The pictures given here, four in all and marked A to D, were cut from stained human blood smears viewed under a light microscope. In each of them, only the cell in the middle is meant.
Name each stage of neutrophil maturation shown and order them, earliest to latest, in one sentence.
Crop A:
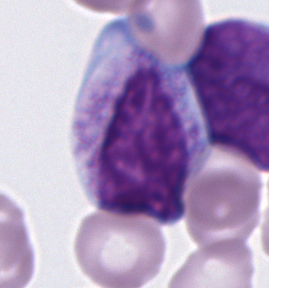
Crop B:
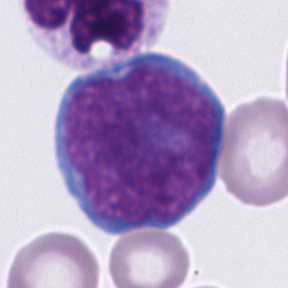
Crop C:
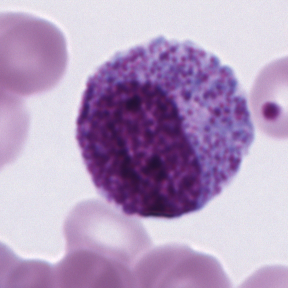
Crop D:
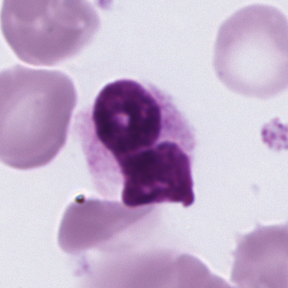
The sequence from earliest to most advanced maturity is crop B (a myeloblast), crop C (a promyelocyte), crop A (a myelocyte) and crop D (a segmented neutrophil).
